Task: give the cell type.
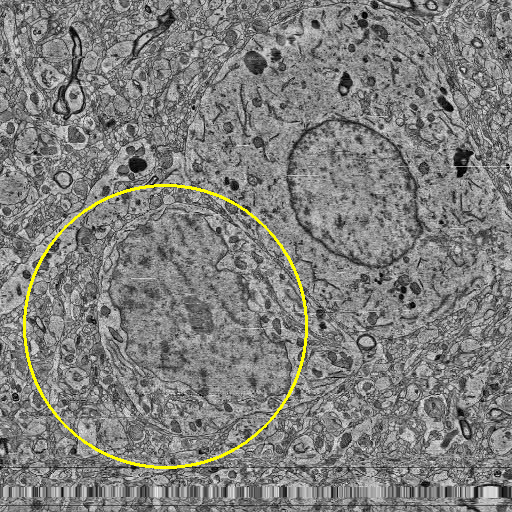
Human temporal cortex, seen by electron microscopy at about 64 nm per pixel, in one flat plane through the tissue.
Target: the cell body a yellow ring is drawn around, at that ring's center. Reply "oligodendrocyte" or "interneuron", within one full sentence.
In this picture, the cell whose body lies at the ring's center is an interneuron.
